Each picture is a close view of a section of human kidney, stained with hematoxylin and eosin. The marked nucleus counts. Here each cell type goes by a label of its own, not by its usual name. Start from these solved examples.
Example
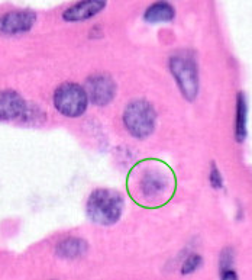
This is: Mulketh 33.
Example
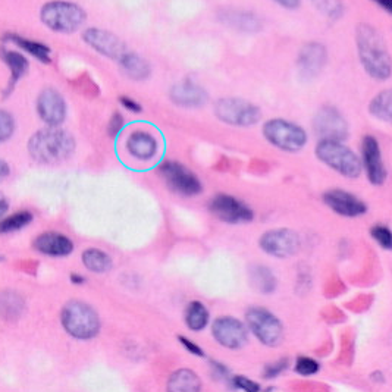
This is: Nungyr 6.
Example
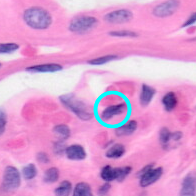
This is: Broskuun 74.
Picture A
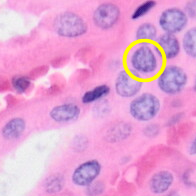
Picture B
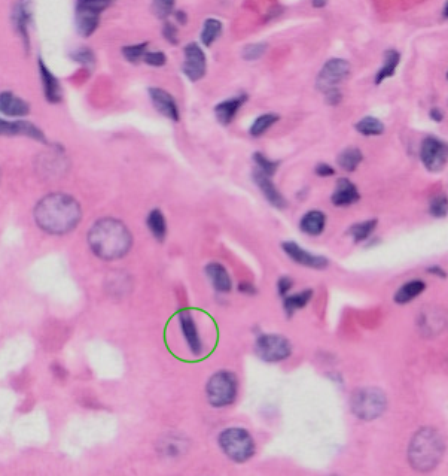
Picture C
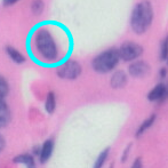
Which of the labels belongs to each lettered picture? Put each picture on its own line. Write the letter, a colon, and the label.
A: Nungyr 6.
B: Broskuun 74.
C: Nungyr 6.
